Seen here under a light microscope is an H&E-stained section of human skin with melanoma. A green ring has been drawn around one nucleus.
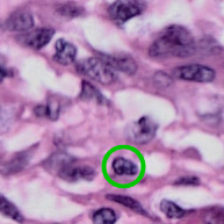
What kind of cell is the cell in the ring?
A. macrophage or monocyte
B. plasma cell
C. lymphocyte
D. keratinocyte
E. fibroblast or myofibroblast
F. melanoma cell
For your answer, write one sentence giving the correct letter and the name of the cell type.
The correct response is option C: the cell in the ring is a lymphocyte.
